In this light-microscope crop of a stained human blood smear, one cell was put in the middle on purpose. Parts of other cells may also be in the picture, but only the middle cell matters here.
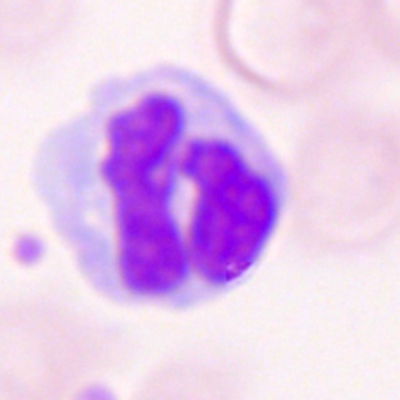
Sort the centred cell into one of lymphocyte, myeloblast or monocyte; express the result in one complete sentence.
The cell under consideration, at the middle of the crop, is a monocyte.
